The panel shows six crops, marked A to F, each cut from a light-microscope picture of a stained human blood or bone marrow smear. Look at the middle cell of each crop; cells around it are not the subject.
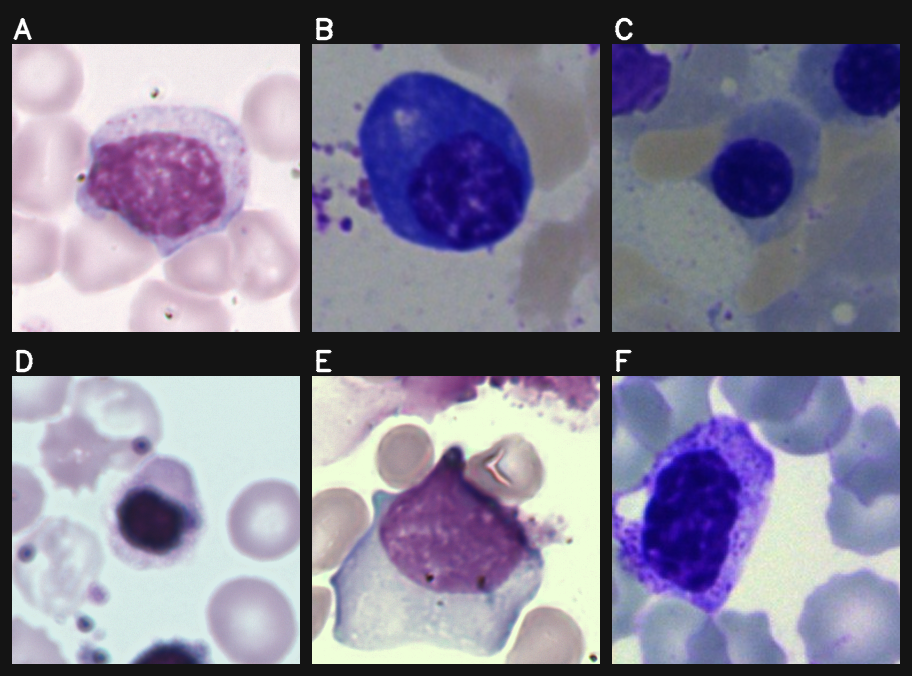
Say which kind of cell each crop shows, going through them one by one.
A: myelocyte
B: plasma cell
C: normoblast
D: normoblast
E: plasma cell
F: myelocyte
